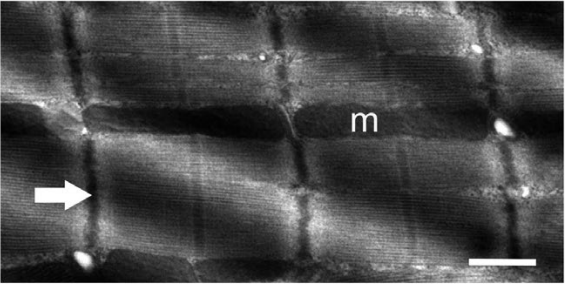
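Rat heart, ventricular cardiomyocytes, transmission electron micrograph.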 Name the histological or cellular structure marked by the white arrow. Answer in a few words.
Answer: Z‐line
